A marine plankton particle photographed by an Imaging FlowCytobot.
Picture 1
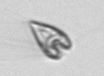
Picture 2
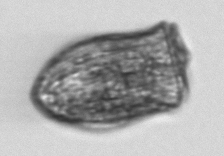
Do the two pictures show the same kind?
No: Pyramimonas, then a tintinnid.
